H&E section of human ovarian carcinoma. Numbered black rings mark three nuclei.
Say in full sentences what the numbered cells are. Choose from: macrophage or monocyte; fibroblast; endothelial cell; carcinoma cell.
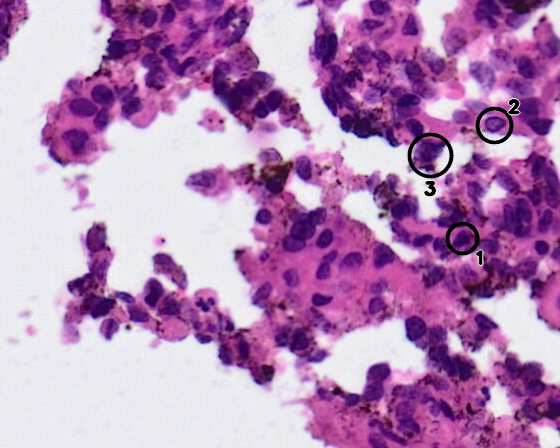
Cell 1 is a carcinoma cell, cell 2 is a macrophage or monocyte and cell 3 is a carcinoma cell.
